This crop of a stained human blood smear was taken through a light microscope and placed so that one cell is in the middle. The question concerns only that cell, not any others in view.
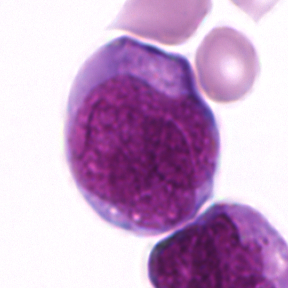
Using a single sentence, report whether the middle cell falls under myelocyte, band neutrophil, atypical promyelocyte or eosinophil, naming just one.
The central element of this crop is a cell, namely an atypical promyelocyte.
